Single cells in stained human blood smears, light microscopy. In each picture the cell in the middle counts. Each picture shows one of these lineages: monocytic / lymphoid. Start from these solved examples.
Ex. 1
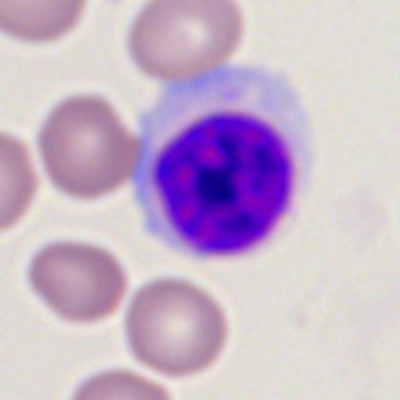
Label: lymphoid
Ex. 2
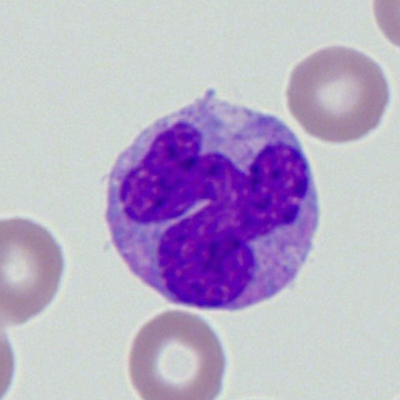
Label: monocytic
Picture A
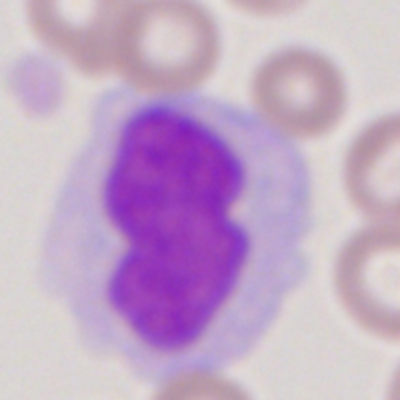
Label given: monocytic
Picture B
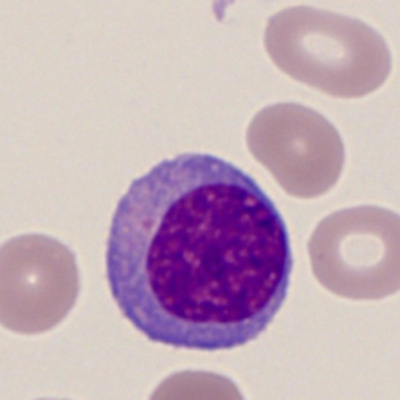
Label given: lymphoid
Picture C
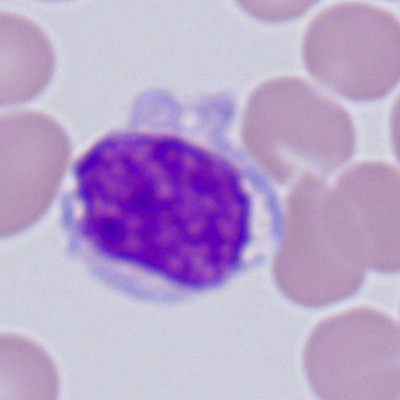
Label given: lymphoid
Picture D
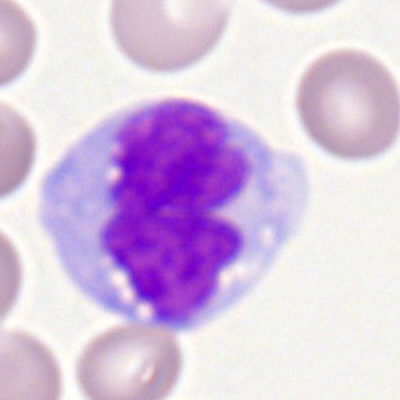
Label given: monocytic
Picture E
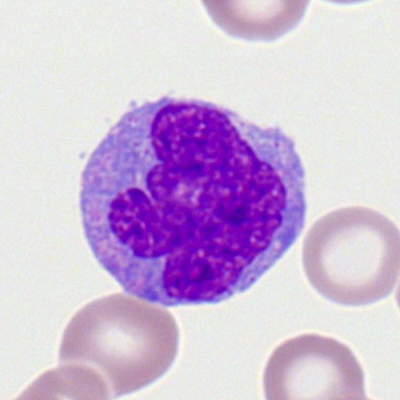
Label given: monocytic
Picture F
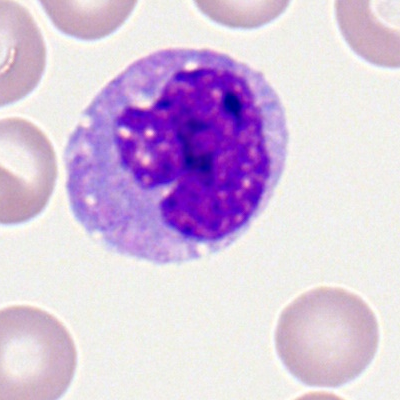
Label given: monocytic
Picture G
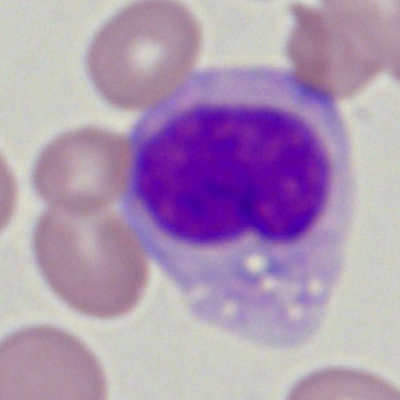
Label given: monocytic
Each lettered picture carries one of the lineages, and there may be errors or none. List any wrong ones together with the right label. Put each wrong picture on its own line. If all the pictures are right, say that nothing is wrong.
No label is wrong.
